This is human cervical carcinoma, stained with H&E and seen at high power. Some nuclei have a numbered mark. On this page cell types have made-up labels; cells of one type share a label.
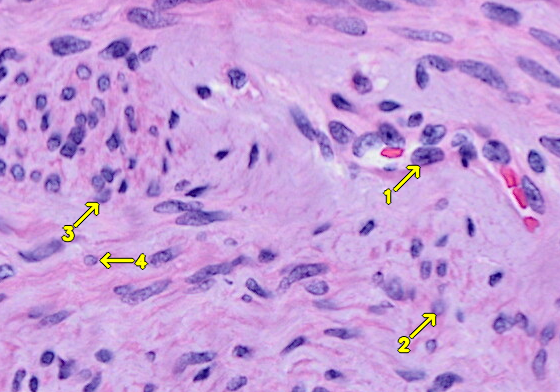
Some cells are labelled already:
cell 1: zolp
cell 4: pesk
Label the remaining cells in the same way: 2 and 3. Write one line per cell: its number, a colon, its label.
2: pesk
3: pesk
